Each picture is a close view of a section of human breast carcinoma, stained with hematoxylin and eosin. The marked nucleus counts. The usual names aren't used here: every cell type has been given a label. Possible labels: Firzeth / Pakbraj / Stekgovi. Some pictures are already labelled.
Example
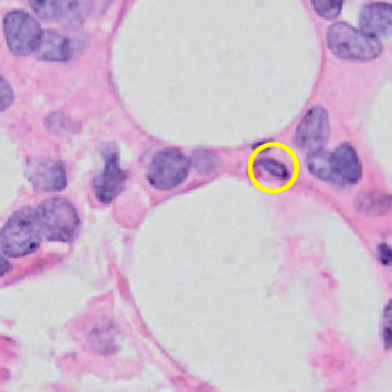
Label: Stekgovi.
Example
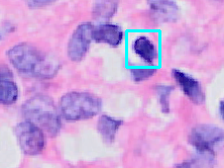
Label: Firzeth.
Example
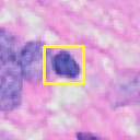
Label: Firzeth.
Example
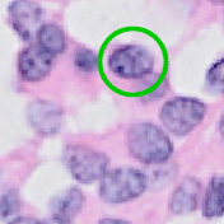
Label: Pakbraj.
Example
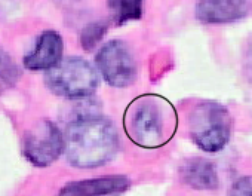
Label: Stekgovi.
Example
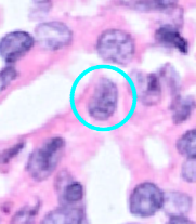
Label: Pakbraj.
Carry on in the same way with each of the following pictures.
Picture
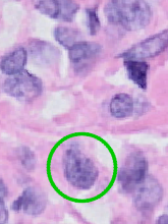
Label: Pakbraj.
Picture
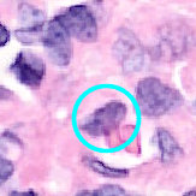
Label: Stekgovi.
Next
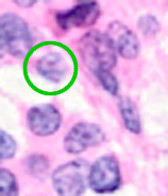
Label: Pakbraj.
